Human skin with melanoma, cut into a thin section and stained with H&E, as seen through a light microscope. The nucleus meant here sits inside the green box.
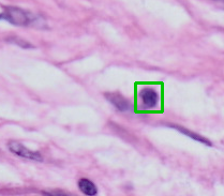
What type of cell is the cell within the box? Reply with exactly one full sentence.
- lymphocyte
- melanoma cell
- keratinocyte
Microscopically, the cell within the box is categorized as a lymphocyte.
